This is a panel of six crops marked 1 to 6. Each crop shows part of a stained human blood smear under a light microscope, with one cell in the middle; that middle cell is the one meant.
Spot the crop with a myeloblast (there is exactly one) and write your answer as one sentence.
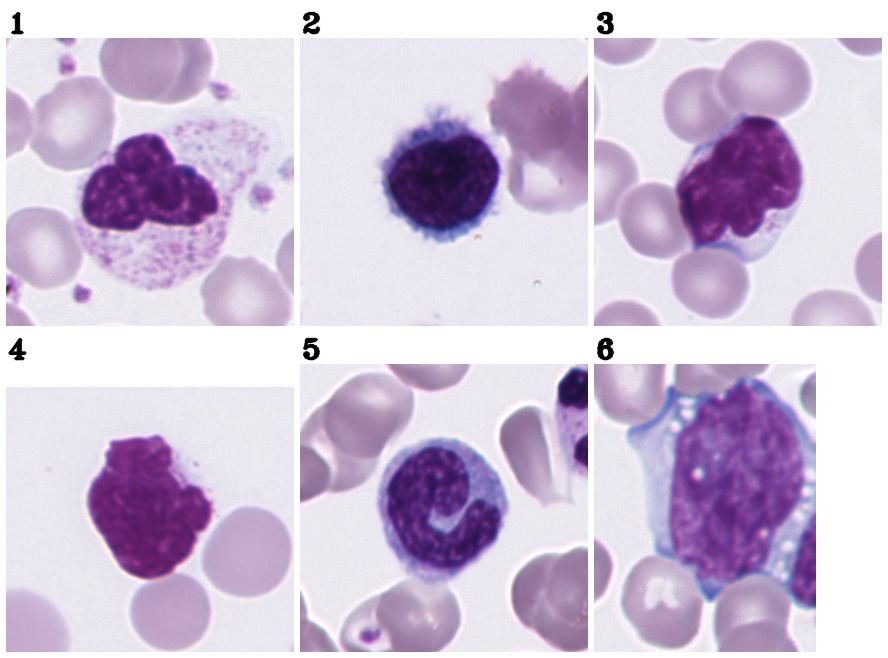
Crop 6 is the crop in which a myeloblast is shown.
